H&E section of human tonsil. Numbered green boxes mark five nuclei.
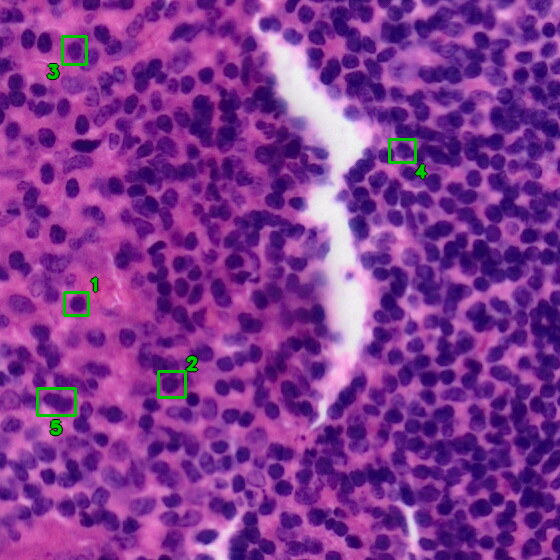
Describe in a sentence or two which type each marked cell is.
Cell 1 is a plasma cell, cell 2 is a plasma cell, cell 3 is a plasma cell, cell 4 is a small lymphocyte and cell 5 is a squamous epithelial cell.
